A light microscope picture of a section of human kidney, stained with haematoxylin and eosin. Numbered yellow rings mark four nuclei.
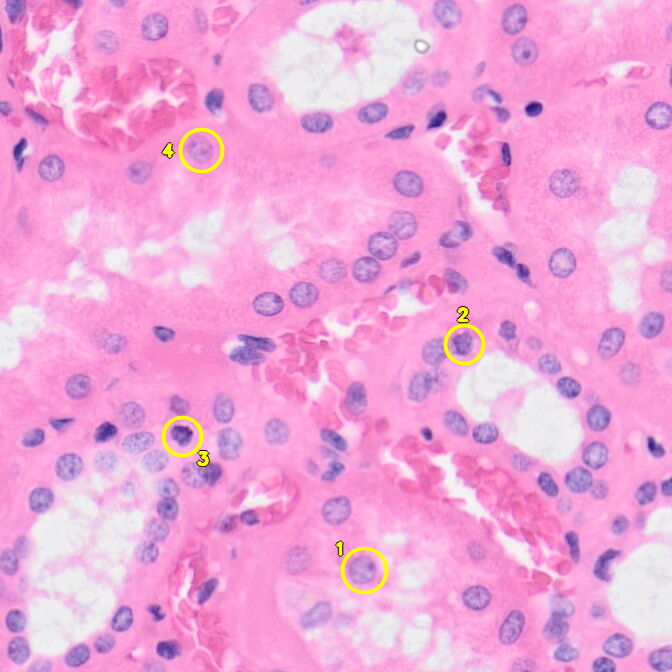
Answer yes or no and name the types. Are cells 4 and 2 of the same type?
No, by type, cell 4 is a proximal tubule cell and cell 2 is a loop of Henle or distal tubule cell.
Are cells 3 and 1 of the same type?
No, the proper labels are a loop of Henle or distal tubule cell for cell 3 and a proximal tubule cell for cell 1.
